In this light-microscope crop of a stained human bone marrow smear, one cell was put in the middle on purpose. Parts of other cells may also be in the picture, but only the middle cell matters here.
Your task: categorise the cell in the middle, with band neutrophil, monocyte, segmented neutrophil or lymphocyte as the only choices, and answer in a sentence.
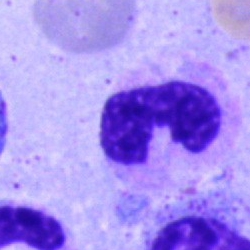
This crop's central cell is a band neutrophil.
